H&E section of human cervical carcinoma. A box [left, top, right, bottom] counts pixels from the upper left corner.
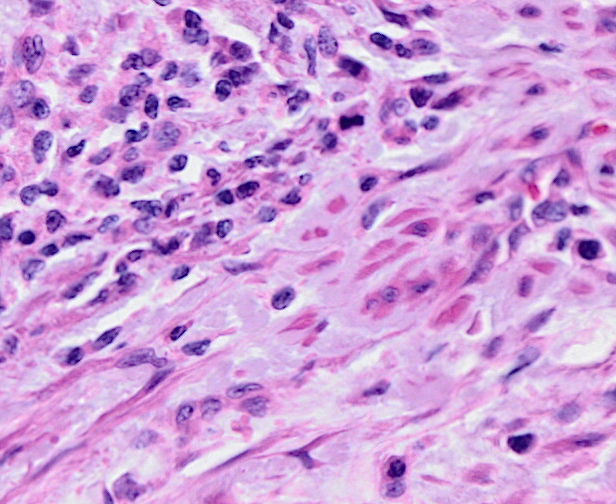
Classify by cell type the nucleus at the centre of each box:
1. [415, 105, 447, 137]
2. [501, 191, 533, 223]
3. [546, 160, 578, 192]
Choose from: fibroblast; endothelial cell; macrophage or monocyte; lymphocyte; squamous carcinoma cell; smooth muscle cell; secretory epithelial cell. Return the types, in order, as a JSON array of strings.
["lymphocyte", "endothelial cell", "endothelial cell"]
